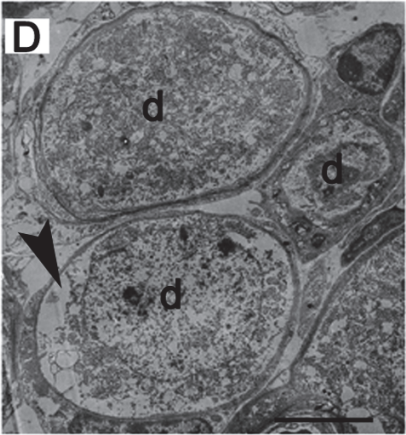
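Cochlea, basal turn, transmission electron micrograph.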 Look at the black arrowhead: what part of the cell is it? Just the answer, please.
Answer: cytoplasmic vacuoles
